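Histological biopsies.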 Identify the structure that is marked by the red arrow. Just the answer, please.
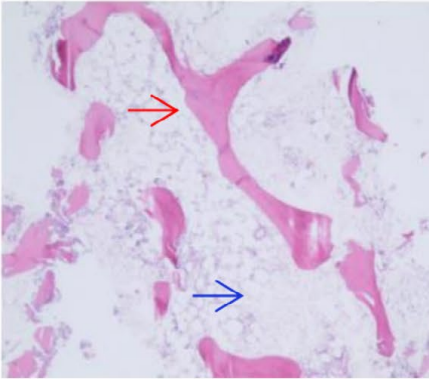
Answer: Bone trabeculae.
